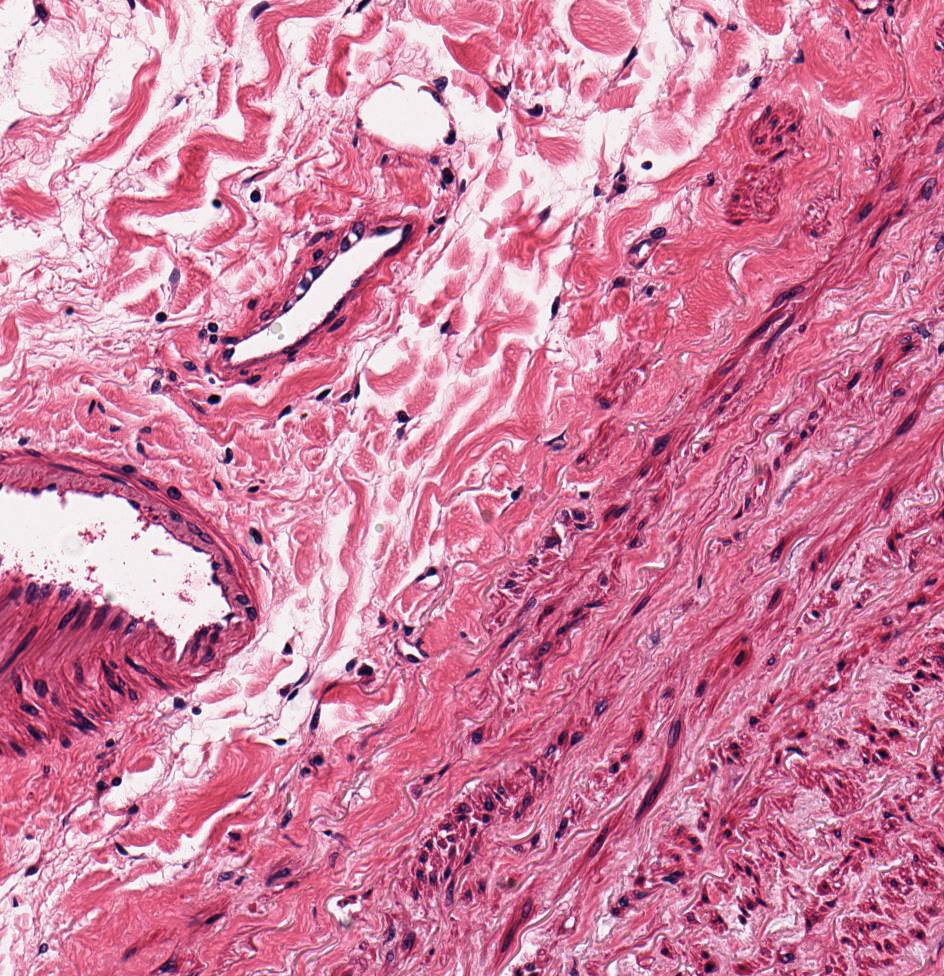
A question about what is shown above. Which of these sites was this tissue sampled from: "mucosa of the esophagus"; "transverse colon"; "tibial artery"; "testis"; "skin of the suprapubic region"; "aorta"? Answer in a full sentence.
The site this tissue was sampled from is the aorta.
